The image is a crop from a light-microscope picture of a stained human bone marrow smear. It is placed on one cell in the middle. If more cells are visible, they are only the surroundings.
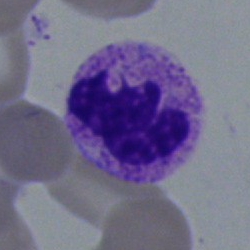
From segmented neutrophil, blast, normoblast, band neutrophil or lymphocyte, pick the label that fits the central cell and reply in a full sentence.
The cell around which this crop is centred is a segmented neutrophil.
